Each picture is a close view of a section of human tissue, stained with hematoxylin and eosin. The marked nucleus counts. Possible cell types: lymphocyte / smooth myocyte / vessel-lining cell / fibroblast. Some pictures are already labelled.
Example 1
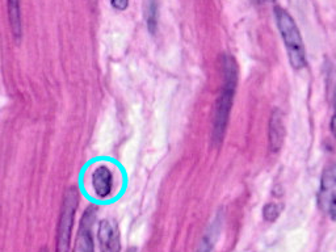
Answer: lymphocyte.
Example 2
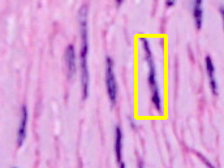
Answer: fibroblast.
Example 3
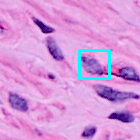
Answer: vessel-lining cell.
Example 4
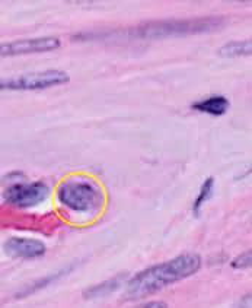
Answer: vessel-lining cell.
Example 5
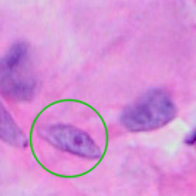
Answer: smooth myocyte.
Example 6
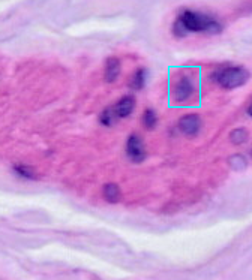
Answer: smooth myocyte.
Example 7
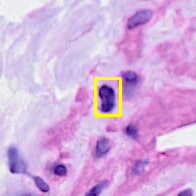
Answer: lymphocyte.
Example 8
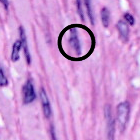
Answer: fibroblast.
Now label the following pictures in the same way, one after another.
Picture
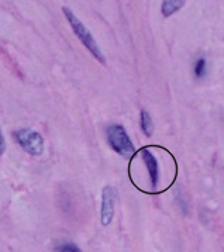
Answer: fibroblast.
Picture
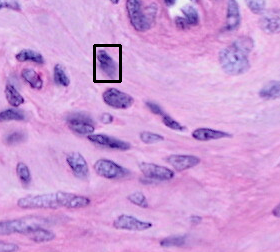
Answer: fibroblast.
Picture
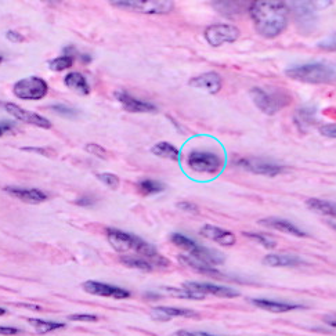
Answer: lymphocyte.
